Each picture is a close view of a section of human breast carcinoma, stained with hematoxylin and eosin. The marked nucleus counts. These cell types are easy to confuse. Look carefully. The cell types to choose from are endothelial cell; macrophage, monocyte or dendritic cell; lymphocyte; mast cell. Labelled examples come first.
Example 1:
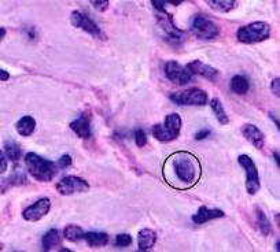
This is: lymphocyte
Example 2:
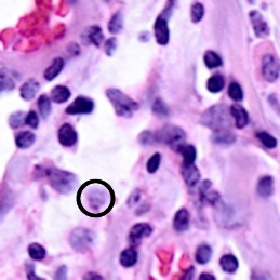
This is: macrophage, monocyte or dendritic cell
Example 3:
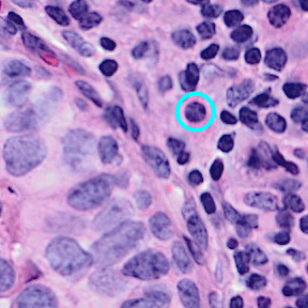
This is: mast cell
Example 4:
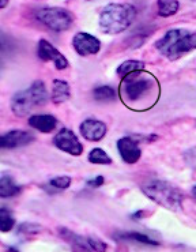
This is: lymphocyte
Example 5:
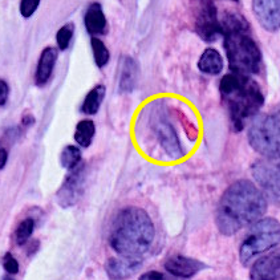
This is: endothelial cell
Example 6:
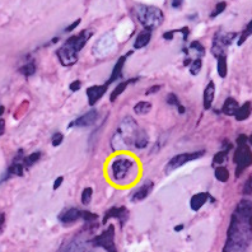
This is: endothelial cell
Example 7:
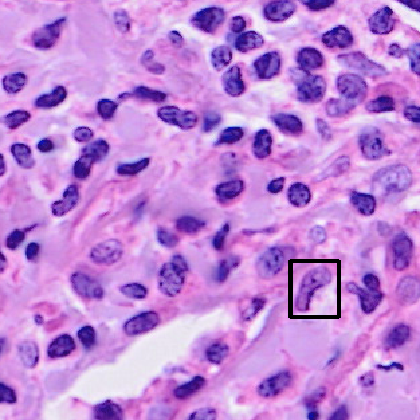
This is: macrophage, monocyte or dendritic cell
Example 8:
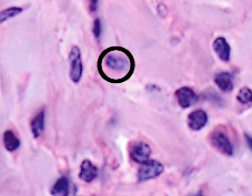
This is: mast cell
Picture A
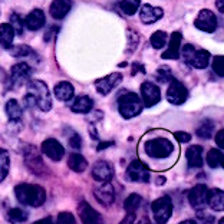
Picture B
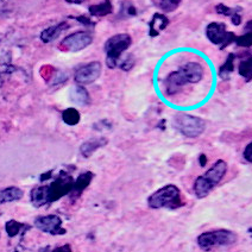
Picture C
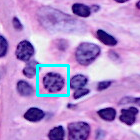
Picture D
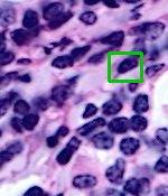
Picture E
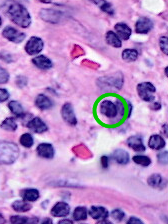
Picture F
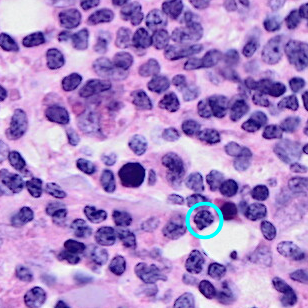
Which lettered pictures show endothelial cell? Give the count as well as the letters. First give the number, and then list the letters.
0, none of them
